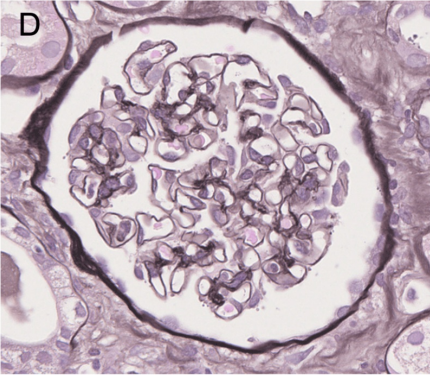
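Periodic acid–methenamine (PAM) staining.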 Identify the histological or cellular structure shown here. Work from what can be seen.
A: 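A round tuft of capillary loops sits inside a capsule with a dark-stained outer wall. Capillary loops are open with thin, delicate dark outlines. The urinary space between tuft and capsule is clear. So: Intact glomerulus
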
